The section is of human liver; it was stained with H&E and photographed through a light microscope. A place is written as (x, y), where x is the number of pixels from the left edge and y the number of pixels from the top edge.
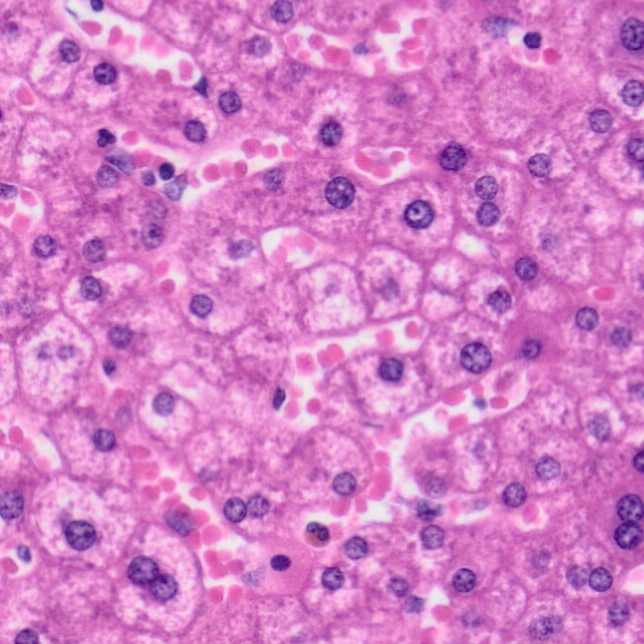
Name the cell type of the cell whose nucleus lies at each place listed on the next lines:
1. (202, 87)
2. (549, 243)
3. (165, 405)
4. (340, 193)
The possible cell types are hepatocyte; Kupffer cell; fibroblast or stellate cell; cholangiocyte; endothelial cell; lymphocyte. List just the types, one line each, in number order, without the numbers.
fibroblast or stellate cell
hepatocyte
hepatocyte
hepatocyte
